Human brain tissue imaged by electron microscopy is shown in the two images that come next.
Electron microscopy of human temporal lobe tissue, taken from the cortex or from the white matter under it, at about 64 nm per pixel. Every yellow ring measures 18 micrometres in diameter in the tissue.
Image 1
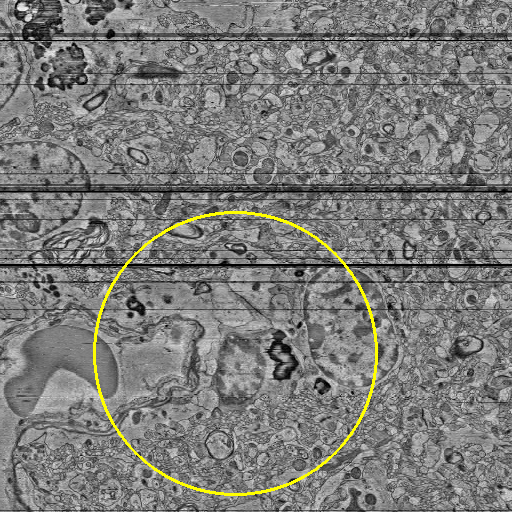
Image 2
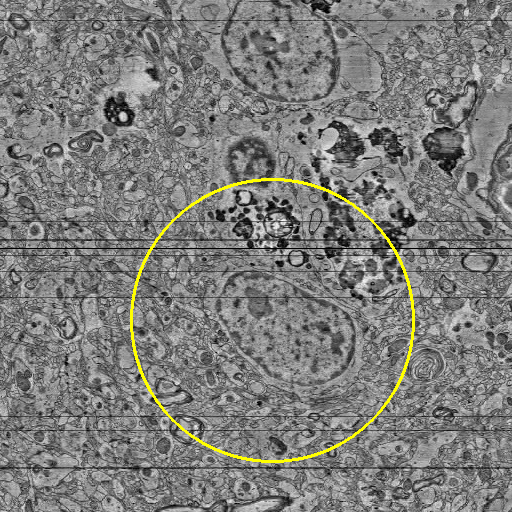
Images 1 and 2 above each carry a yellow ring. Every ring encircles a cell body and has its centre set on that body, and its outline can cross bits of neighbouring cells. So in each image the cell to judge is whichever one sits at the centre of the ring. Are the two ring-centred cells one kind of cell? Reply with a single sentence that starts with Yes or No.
No, in Image 1 and Image 2 the cells at the centres of their rings fall into two types.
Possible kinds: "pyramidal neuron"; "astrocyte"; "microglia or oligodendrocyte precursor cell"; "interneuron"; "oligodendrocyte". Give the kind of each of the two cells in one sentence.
The cell in the second picture is an astrocyte, and that in the first is an oligodendrocyte.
